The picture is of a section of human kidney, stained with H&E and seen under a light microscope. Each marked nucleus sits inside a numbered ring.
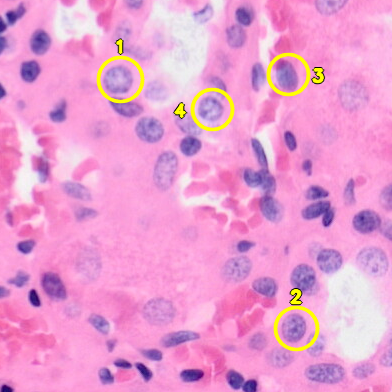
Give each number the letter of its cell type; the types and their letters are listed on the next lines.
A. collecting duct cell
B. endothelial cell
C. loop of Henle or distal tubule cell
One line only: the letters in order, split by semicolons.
A; C; B; A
